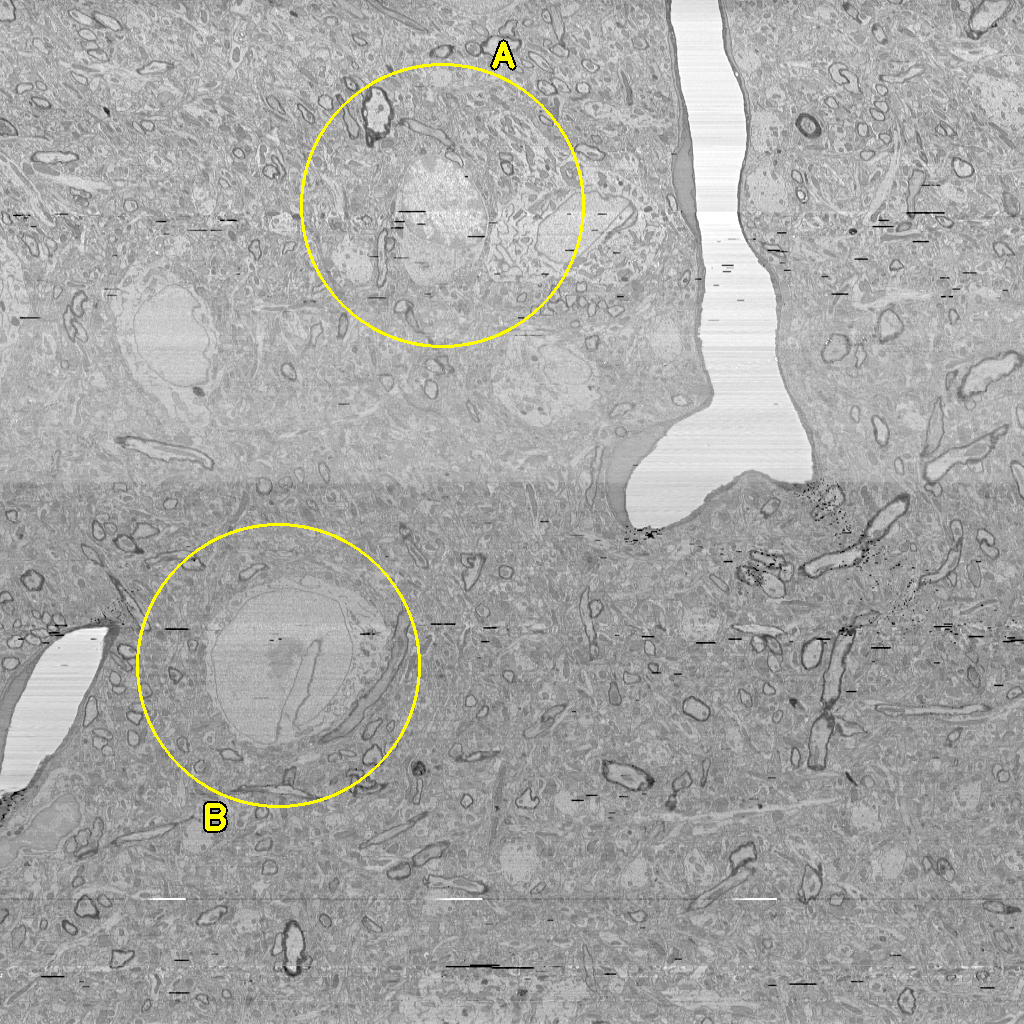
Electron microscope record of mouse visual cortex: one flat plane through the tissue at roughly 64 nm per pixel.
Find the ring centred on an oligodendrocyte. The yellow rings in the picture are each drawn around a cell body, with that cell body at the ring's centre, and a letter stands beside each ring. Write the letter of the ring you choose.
A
